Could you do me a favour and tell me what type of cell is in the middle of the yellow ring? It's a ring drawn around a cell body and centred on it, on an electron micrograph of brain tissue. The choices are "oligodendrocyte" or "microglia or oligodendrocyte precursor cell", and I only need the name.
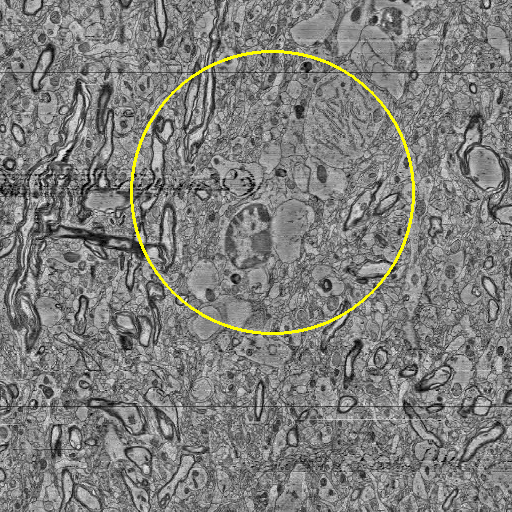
microglia or oligodendrocyte precursor cell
